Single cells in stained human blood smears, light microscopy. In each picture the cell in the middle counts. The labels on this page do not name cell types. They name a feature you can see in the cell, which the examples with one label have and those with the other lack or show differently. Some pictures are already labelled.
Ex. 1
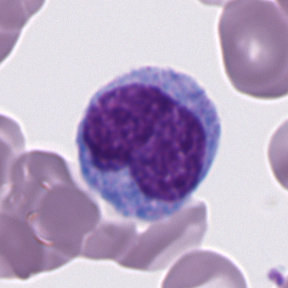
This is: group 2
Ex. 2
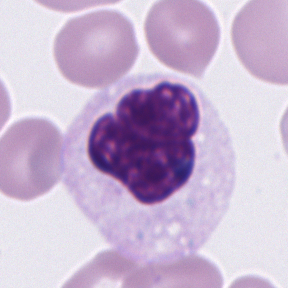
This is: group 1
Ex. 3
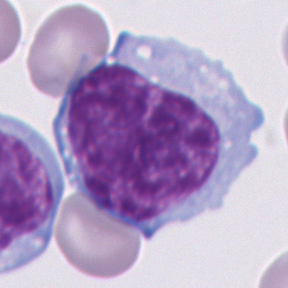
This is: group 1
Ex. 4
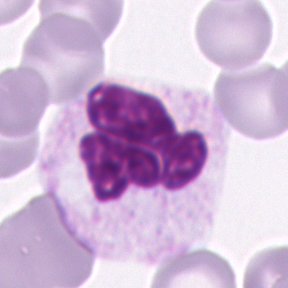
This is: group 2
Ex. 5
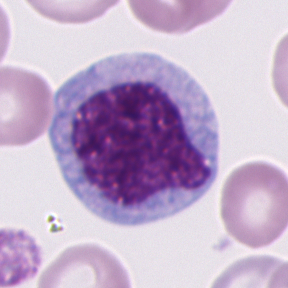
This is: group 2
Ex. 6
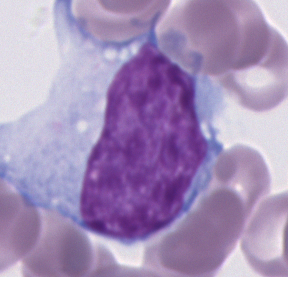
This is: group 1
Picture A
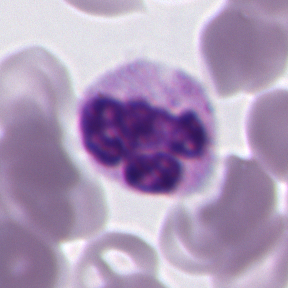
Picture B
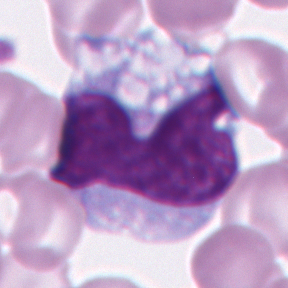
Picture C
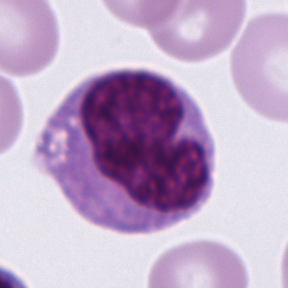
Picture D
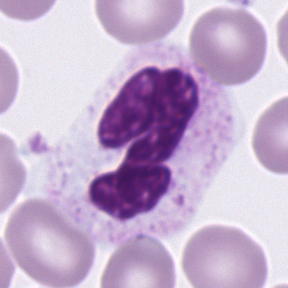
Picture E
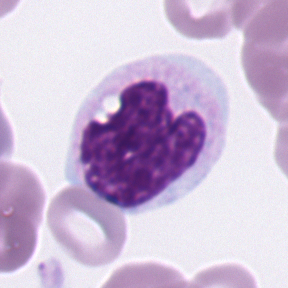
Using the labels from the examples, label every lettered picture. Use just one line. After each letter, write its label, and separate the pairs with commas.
A group 2, B group 1, C group 1, D group 2, E group 1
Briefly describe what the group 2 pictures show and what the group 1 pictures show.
Seen in group 2: no vacuoles; seen in group 1: vacuoles present.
